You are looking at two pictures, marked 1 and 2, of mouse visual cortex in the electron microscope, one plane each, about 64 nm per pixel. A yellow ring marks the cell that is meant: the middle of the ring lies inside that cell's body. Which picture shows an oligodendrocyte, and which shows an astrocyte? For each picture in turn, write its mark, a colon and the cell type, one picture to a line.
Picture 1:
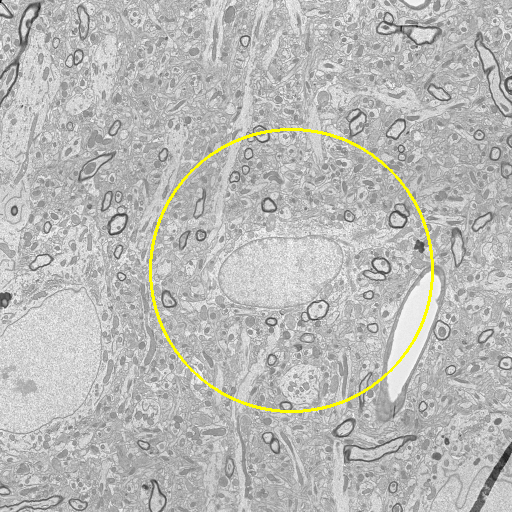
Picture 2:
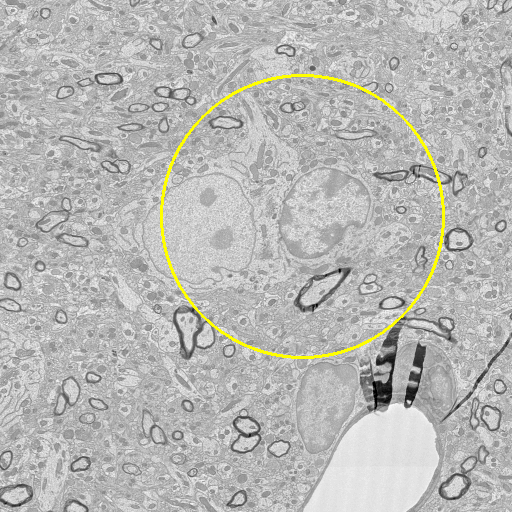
1: astrocyte
2: oligodendrocyte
